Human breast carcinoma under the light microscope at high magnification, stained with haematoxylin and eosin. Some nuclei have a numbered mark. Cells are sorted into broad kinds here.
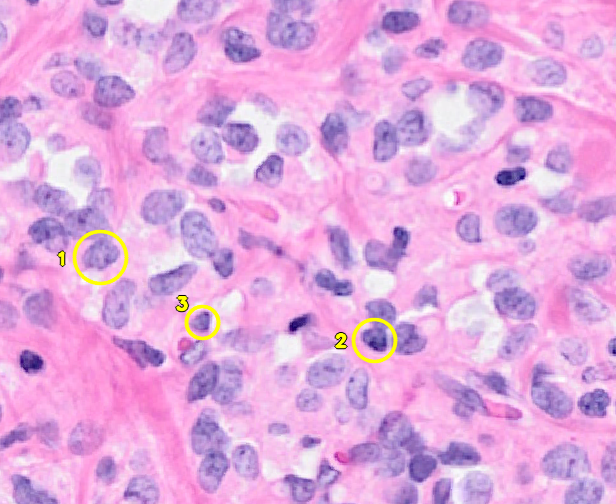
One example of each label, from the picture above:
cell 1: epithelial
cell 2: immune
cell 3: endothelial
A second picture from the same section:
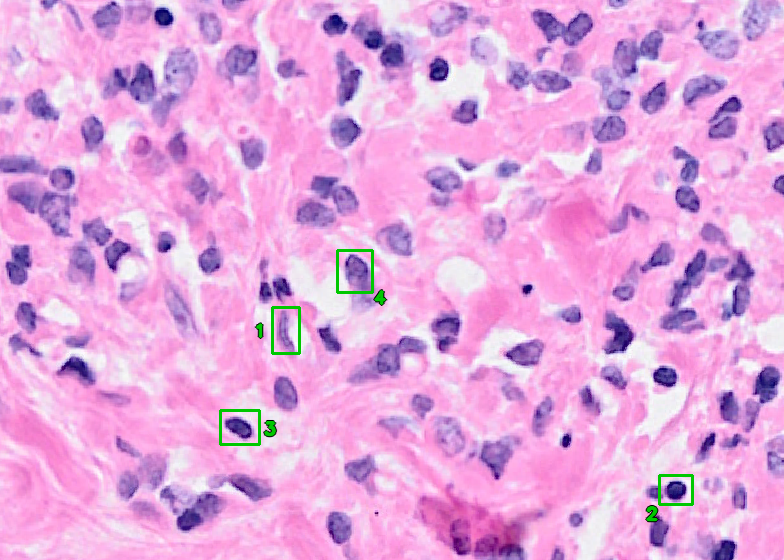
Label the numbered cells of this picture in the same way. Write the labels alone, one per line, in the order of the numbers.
endothelial
immune
immune
epithelial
